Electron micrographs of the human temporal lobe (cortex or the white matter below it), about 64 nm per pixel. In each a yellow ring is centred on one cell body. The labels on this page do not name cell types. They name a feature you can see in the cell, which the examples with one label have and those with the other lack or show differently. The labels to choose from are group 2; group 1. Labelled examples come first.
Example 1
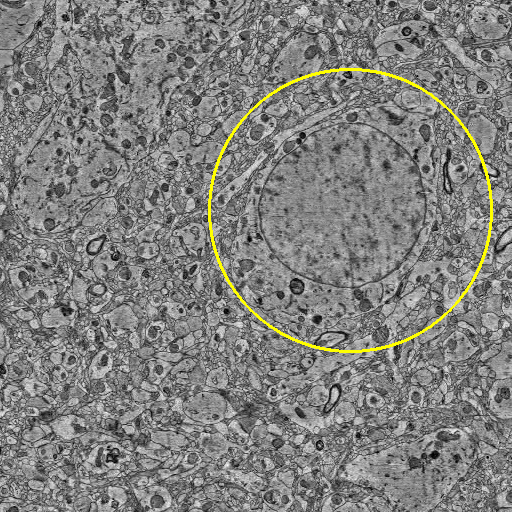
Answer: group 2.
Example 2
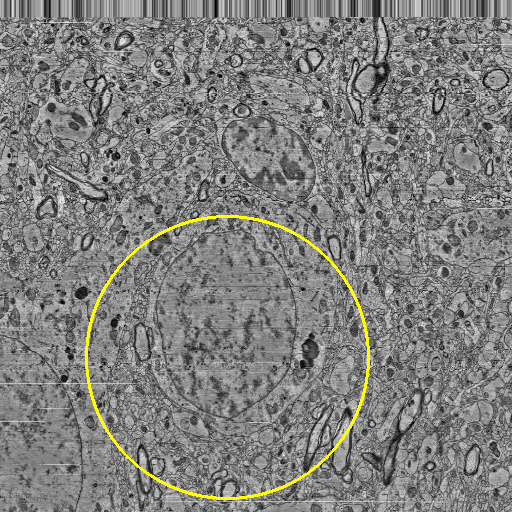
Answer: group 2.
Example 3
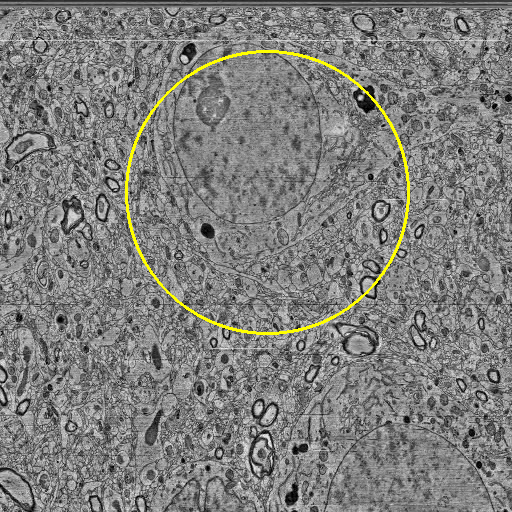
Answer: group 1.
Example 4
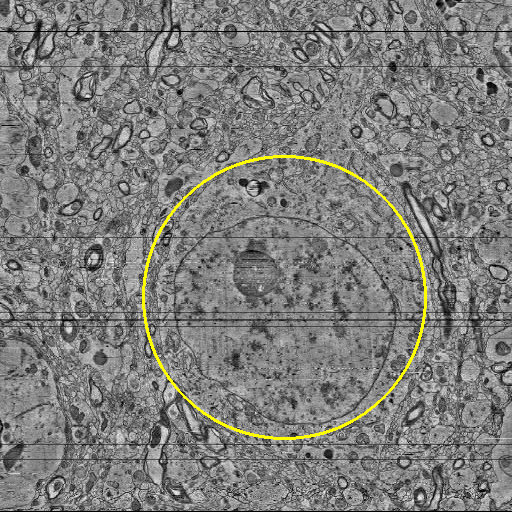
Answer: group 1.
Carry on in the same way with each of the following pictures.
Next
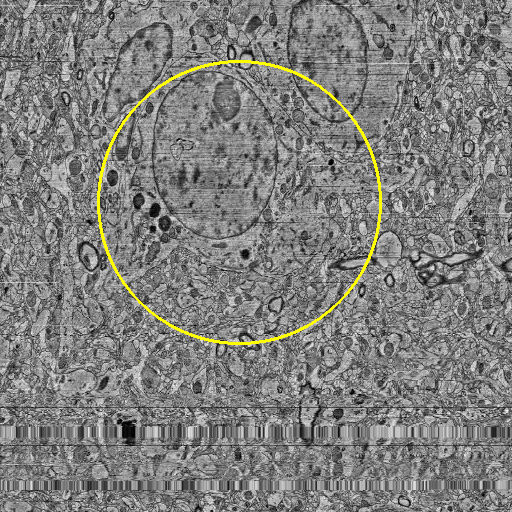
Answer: group 1.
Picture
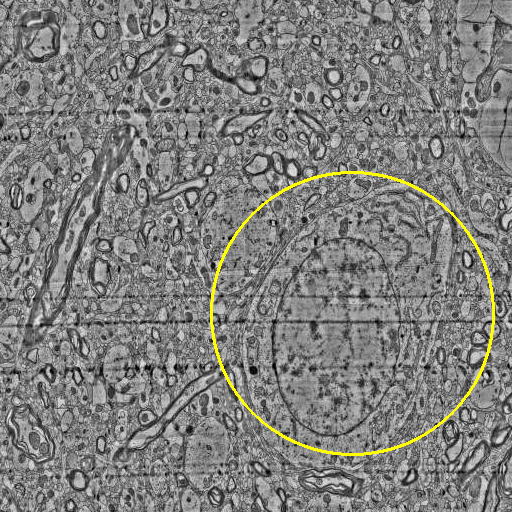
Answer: group 2.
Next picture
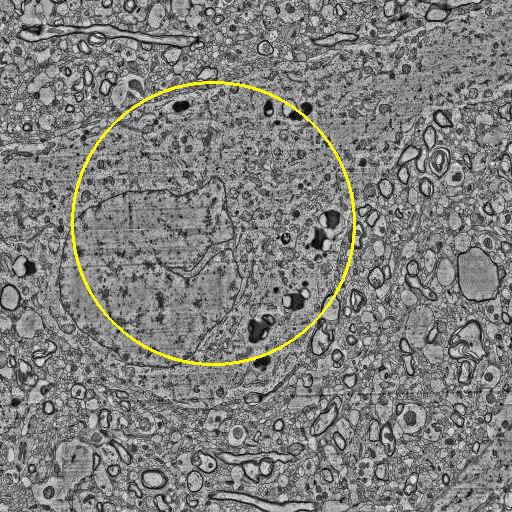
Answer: group 2.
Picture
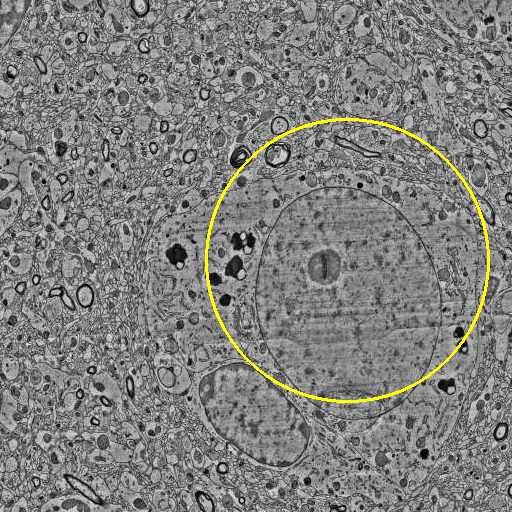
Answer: group 1.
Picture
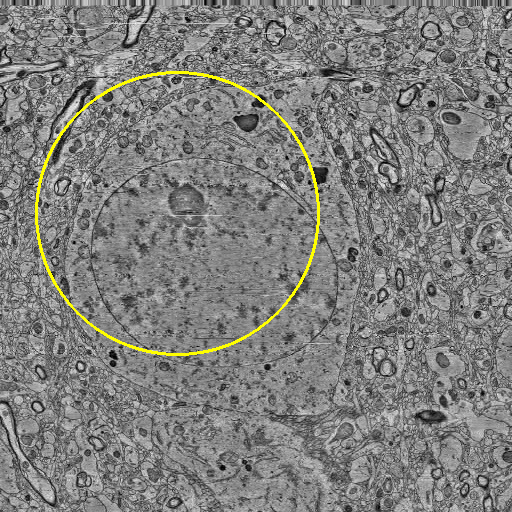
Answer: group 1.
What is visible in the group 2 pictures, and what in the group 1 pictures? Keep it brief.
group 2: no nucleolus seen; group 1: nucleolus seen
